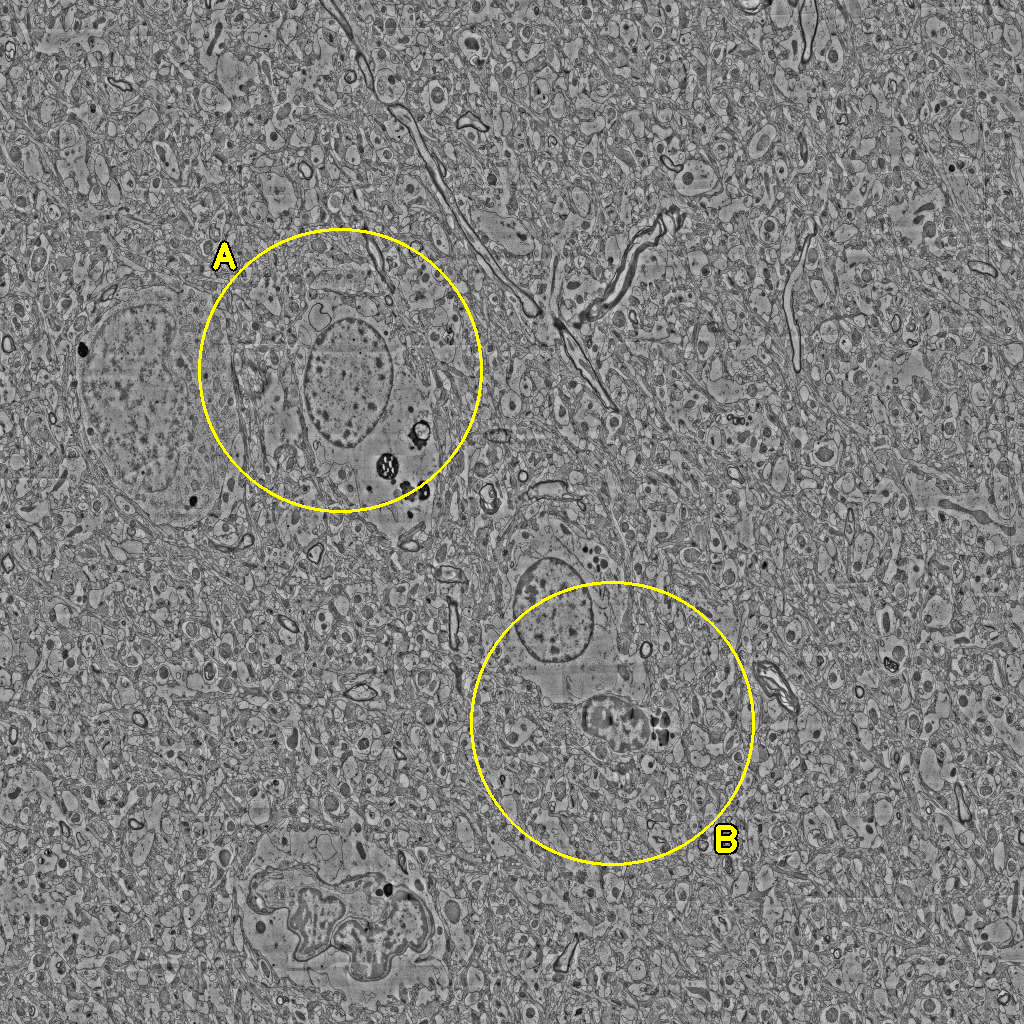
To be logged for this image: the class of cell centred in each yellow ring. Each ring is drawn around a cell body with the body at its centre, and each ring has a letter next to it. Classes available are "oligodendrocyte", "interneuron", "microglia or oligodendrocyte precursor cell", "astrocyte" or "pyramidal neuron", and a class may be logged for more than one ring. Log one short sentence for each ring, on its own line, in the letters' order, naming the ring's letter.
The class recorded for ring A is an astrocyte.
The class recorded for ring B is a microglial cell or oligodendrocyte precursor cell.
